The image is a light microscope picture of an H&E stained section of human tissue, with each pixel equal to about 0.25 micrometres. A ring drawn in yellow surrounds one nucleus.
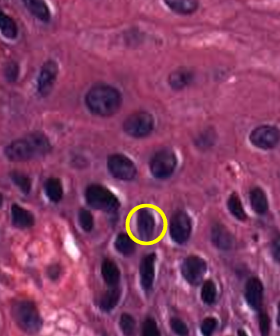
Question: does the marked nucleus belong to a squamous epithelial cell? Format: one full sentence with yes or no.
Yes, a squamous epithelial cell is the owner of the marked nucleus.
